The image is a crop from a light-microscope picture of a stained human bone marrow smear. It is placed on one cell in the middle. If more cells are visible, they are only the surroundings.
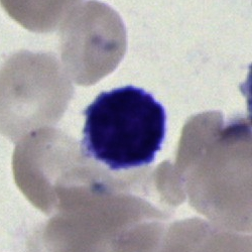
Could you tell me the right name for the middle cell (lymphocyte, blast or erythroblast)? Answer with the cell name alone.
lymphocyte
